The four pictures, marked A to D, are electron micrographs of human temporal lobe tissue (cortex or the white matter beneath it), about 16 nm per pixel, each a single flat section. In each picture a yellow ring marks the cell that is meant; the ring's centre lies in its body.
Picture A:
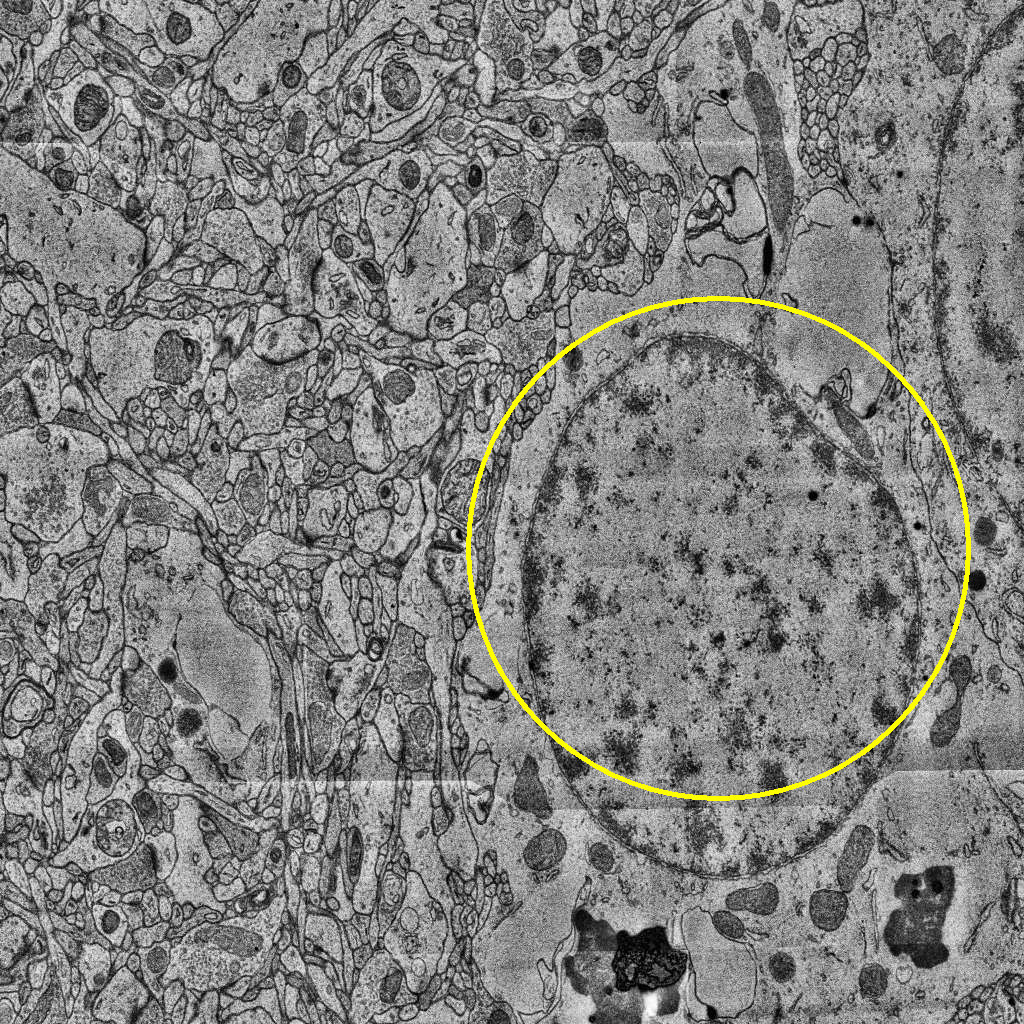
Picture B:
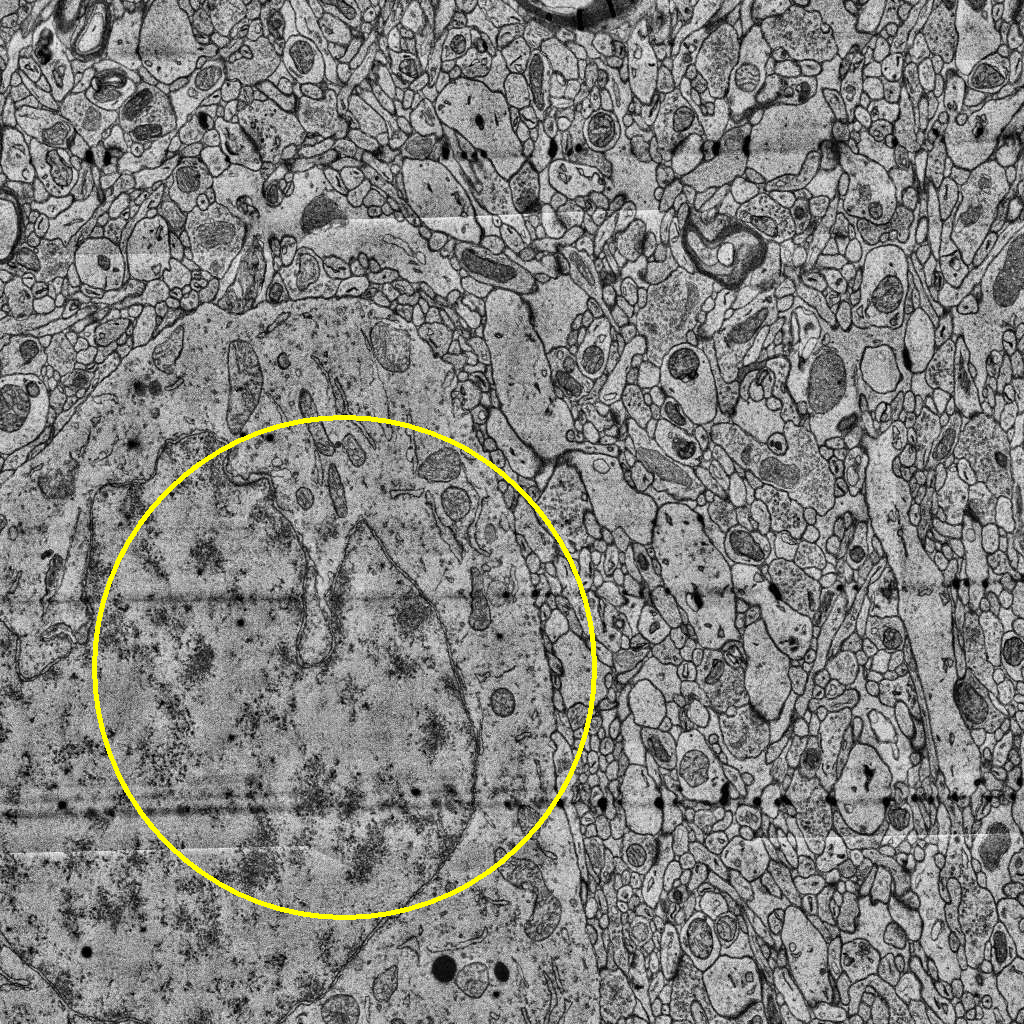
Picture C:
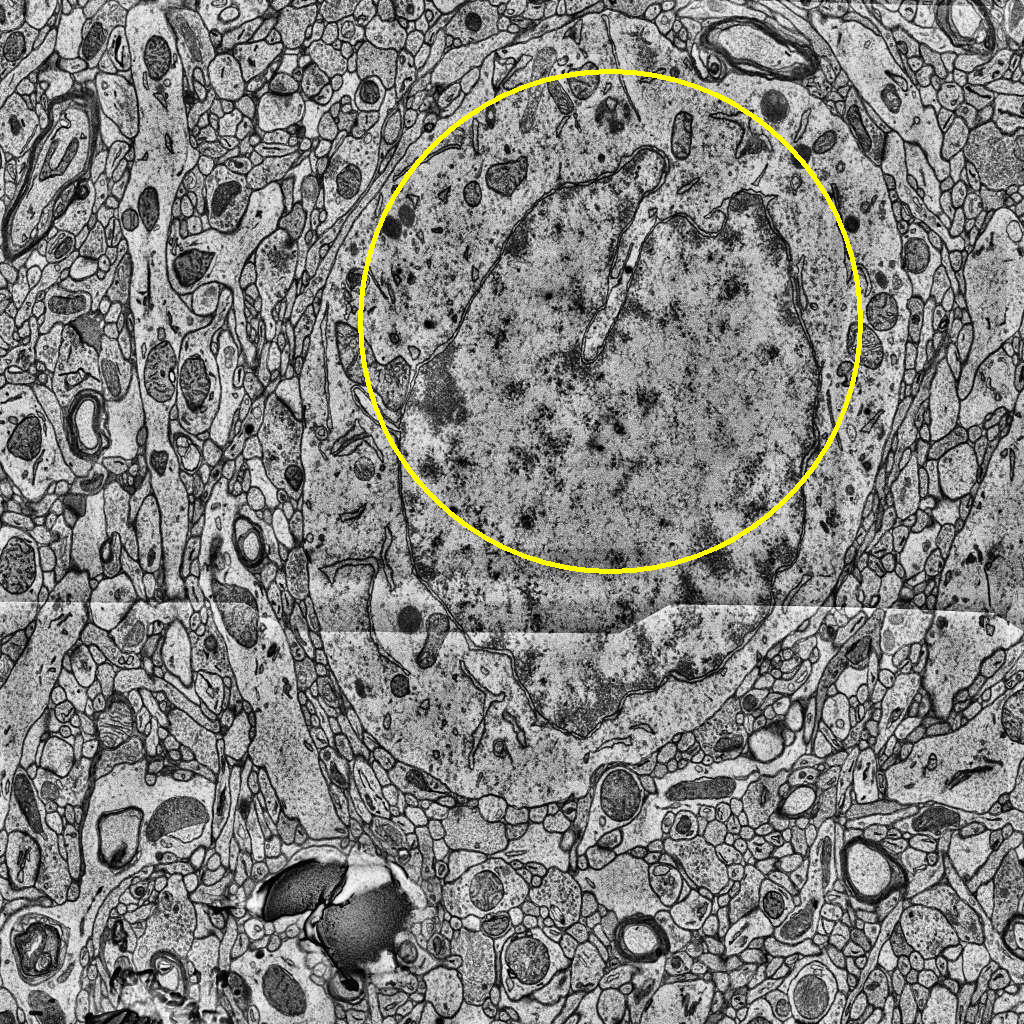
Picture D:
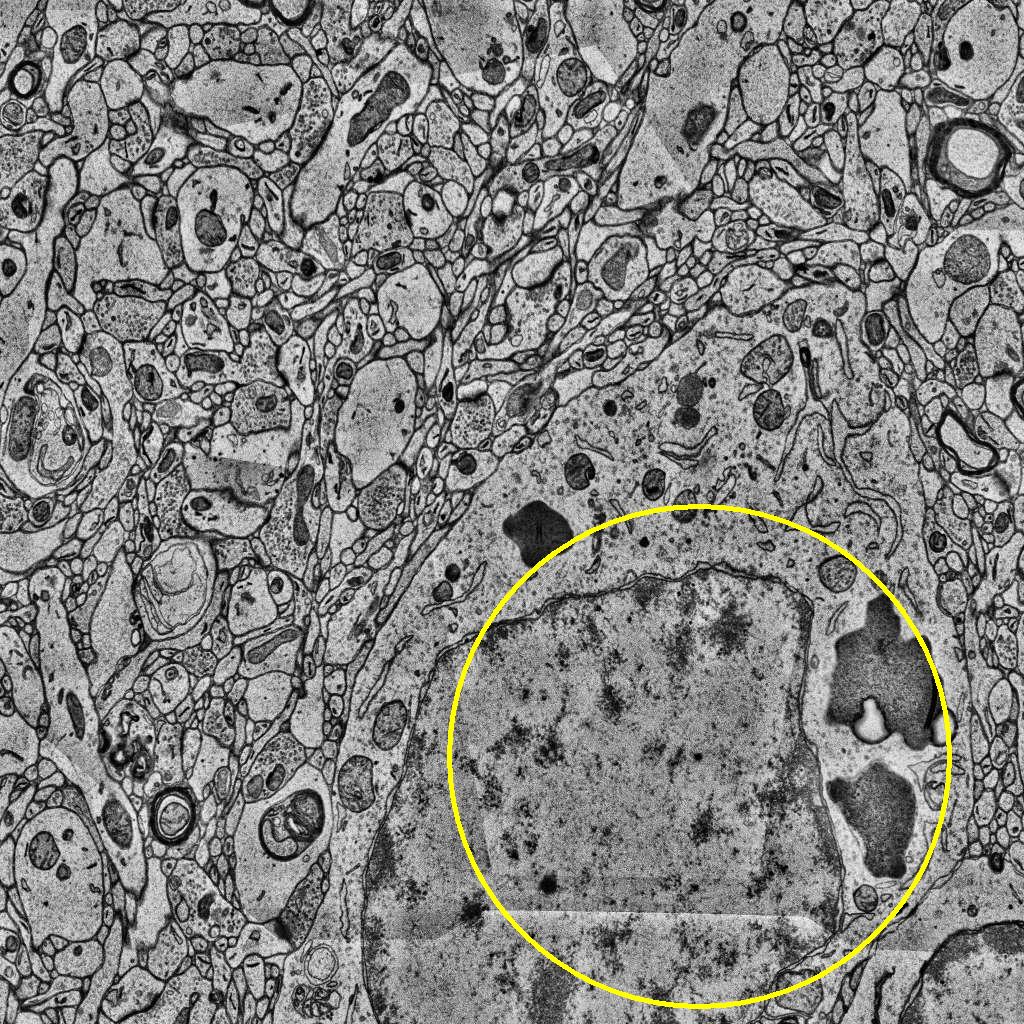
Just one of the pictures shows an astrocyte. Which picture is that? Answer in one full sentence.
The picture with the astrocyte is A.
